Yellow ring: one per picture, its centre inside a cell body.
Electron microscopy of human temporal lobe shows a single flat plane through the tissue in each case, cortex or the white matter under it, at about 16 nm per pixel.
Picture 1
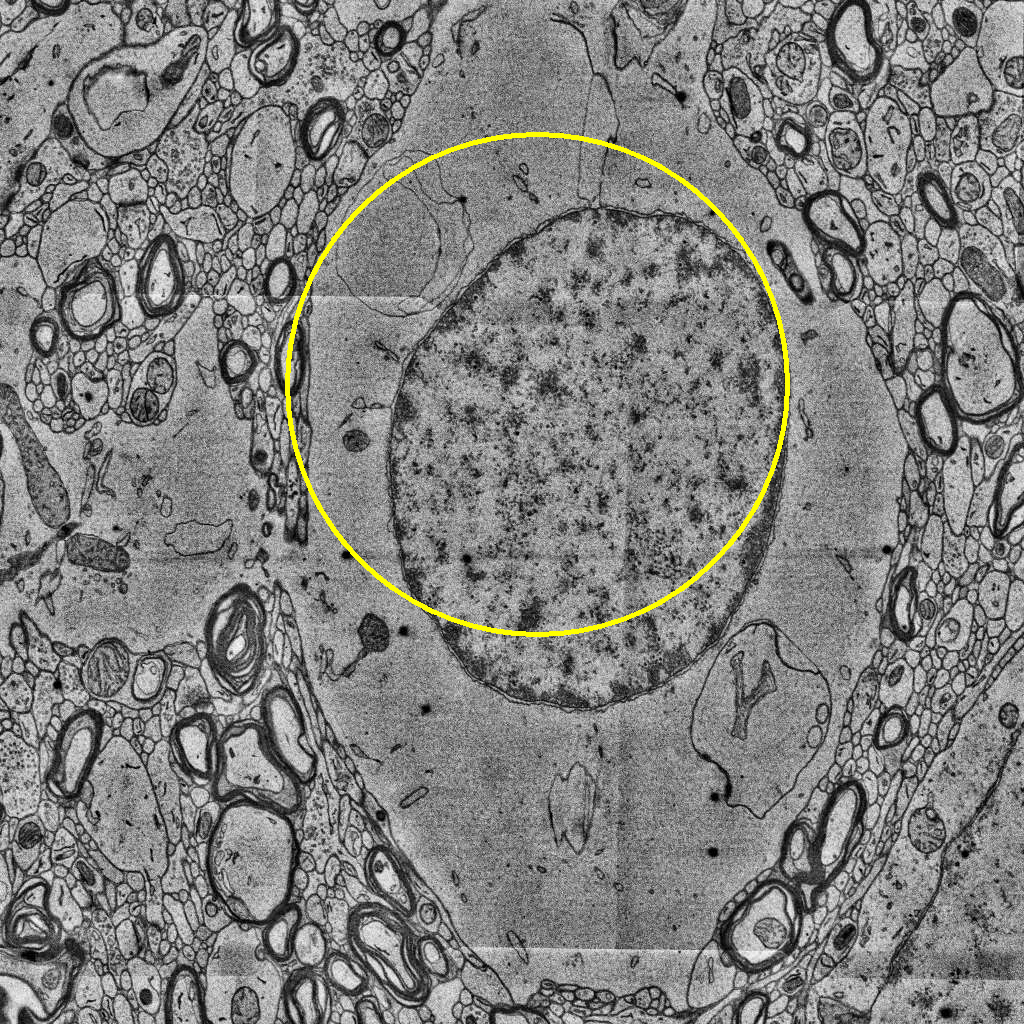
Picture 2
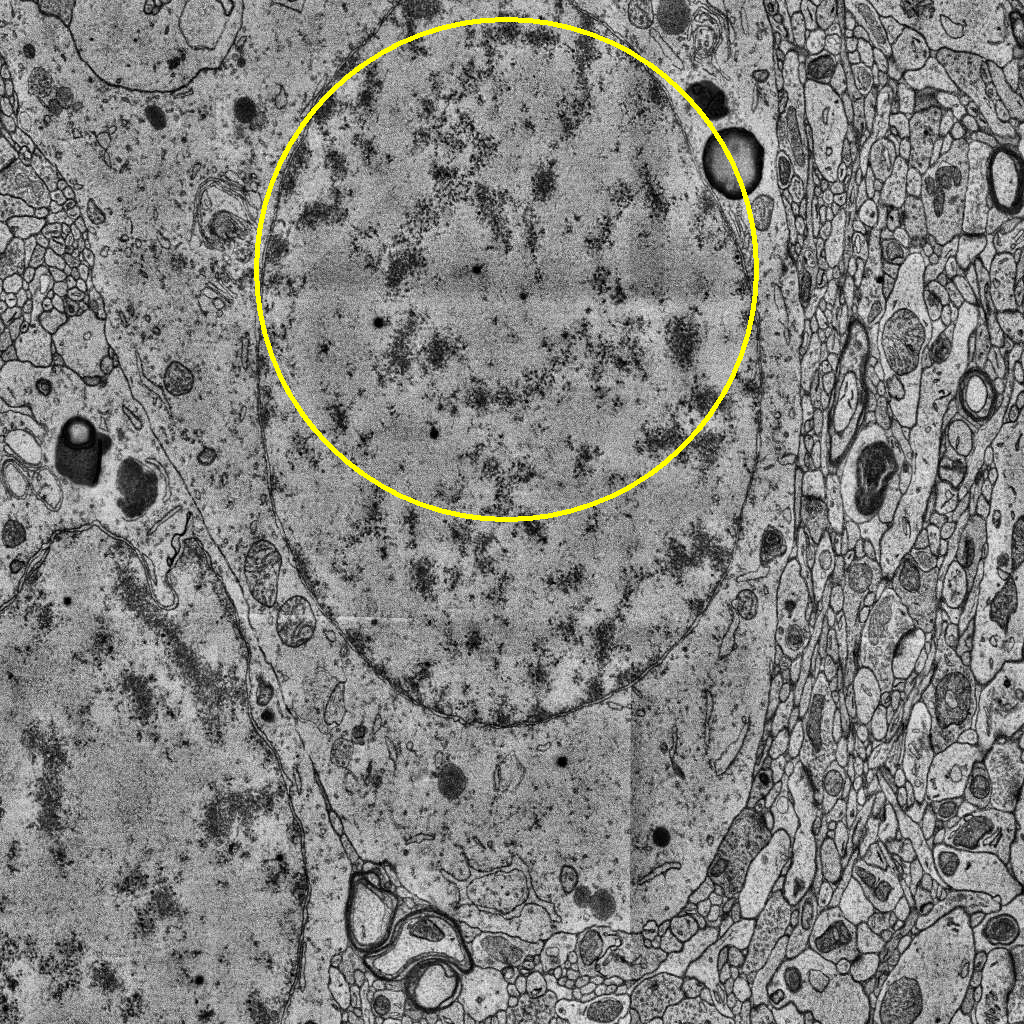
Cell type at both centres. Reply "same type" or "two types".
two types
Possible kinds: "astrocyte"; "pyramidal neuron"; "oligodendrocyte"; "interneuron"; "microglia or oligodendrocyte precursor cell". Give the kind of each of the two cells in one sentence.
The one in the first picture is an astrocyte, while the one in the second is a pyramidal neuron.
